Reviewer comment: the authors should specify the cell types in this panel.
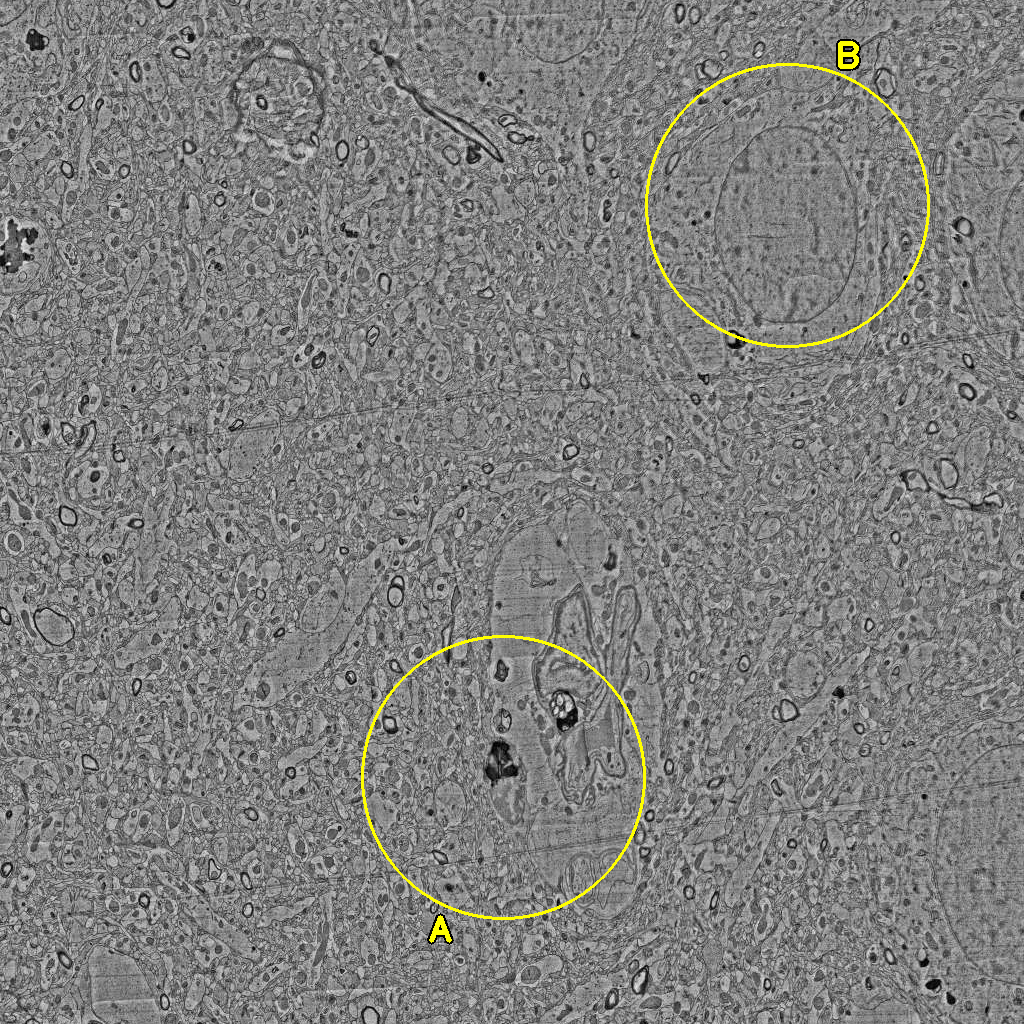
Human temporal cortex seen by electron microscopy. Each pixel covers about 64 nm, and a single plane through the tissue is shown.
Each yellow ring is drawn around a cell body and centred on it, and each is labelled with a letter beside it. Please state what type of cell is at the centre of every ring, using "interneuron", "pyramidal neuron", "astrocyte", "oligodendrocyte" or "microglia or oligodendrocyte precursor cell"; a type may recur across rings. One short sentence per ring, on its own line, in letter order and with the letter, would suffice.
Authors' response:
The cell centred within ring A is an oligodendrocyte.
The cell centred within ring B is a pyramidal neuron.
